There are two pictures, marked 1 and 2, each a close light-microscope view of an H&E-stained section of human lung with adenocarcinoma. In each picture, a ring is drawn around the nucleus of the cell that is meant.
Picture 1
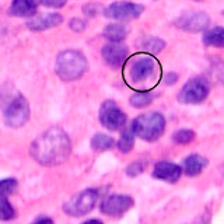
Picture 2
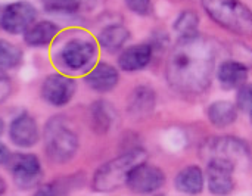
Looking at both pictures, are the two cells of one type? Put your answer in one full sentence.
Yes, both are lymphocytes.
